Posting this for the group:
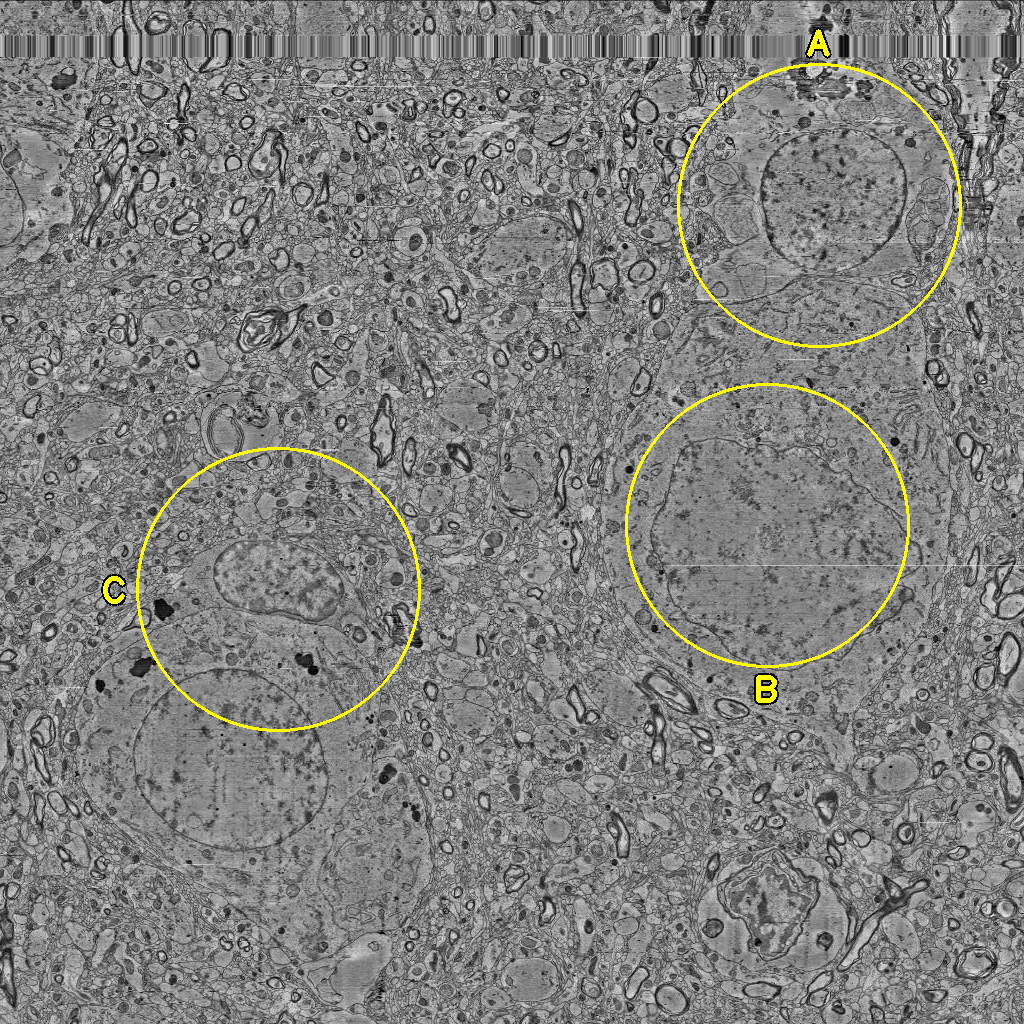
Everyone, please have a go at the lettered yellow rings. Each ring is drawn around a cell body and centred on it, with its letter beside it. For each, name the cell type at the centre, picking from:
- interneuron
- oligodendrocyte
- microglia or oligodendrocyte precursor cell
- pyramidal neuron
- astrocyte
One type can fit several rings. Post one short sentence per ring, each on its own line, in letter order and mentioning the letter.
My call for ring A is an astrocyte.
My call for ring B is a pyramidal neuron.
My call for ring C is an oligodendrocyte.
